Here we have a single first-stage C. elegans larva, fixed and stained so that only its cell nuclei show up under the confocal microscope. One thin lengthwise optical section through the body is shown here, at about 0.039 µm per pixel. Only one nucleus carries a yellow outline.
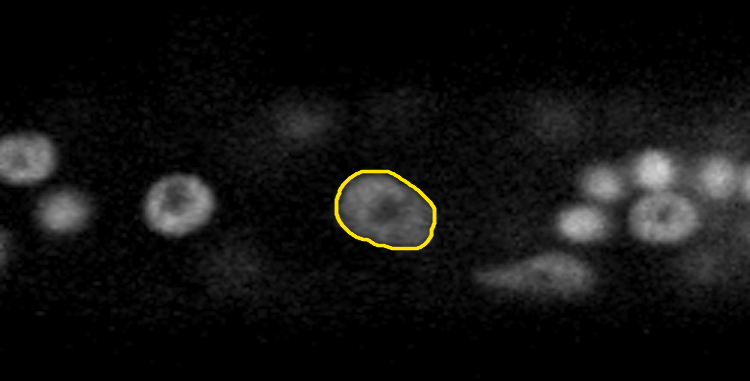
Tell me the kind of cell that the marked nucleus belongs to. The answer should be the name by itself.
hypodermal cell (hyp)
